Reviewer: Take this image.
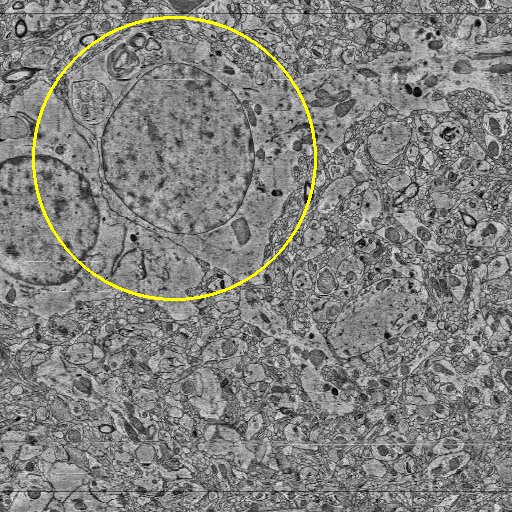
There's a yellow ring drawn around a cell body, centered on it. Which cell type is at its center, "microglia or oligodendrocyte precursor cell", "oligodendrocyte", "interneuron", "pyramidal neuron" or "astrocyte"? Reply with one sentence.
At the center of the yellow ring is an astrocyte.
